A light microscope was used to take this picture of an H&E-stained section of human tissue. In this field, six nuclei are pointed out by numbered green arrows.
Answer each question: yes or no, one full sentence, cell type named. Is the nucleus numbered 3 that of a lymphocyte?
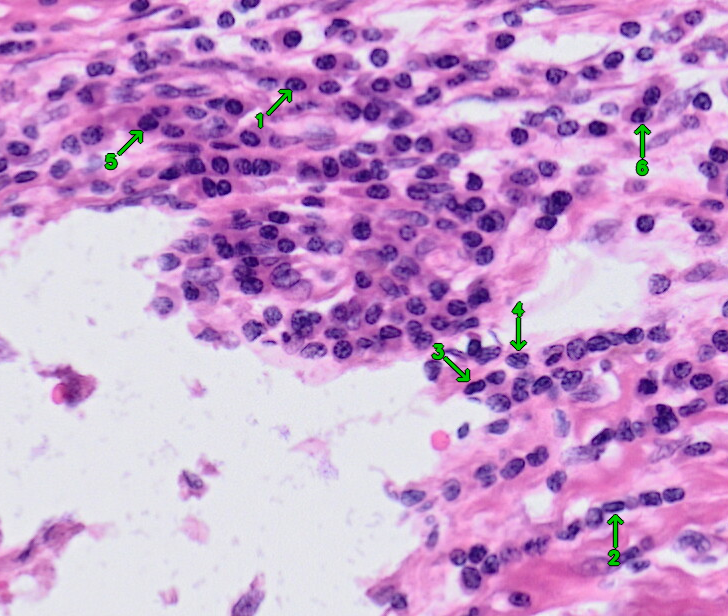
Yes, the cell shown as number 3 is a lymphocyte.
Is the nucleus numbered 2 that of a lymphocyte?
Yes, the numbered nucleus 2 is that of a lymphocyte.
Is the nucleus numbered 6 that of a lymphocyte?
No, number 6 marks a plasma cell rather than a lymphocyte.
